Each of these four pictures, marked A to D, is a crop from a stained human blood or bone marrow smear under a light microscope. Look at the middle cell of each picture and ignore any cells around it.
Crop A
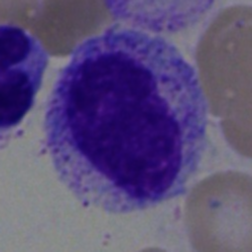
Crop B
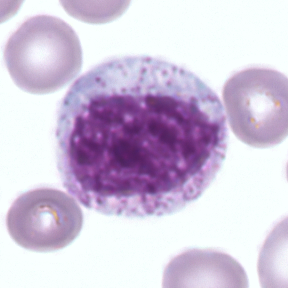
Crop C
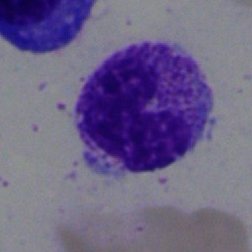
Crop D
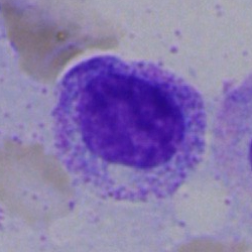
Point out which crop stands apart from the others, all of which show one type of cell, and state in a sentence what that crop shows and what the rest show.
In this set, all crops show metamyelocytes apart from crop D, which is a myelocyte.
